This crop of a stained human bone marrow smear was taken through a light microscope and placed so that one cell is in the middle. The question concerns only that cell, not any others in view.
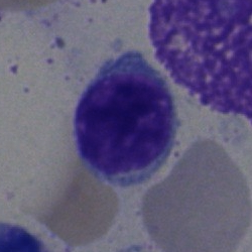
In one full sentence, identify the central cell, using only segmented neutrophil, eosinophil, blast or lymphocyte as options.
Centred in the crop is a lymphocyte.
